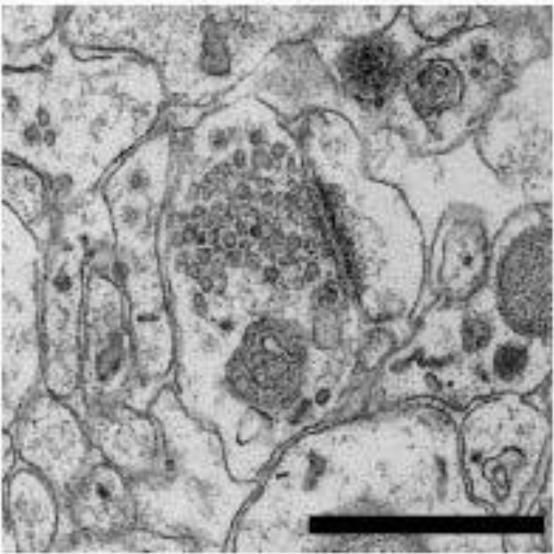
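Neuropil with an asymmetric synapse: a presynaptic bouton in the centre holds a dense cluster of small round clear synaptic vesicles pressed toward an obliquely running contact on its right. A thick dark postsynaptic density lines the apposed membrane of the neighbouring profile. Below the vesicle cluster lies a rounded organelle profile with internal membranes. The surrounding neuropil shows many small cut processes with pale cytoplasm, a few scattered vesicles, and dark granular profiles at the upper and right margins.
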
